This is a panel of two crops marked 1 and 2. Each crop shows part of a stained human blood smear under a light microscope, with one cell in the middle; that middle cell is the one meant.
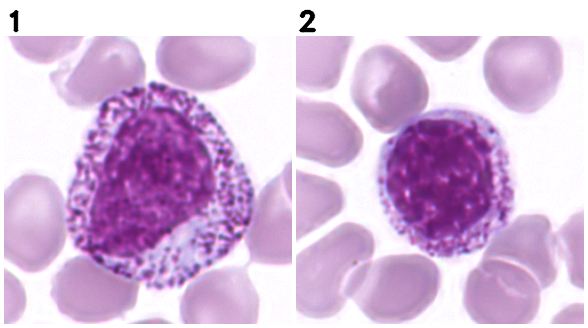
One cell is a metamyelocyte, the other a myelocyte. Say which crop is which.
1: myelocyte
2: metamyelocyte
